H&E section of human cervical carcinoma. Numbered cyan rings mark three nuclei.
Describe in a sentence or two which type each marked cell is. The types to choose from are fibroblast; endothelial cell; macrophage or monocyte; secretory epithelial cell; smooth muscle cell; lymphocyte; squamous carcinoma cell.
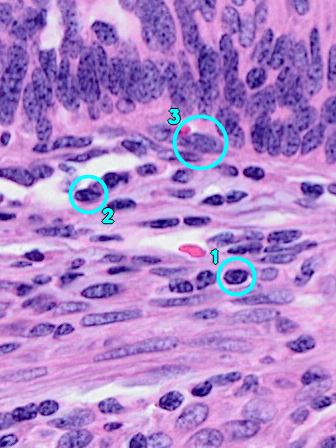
Cells 1 and 2 are lymphocytes. Cell 3 is an endothelial cell.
